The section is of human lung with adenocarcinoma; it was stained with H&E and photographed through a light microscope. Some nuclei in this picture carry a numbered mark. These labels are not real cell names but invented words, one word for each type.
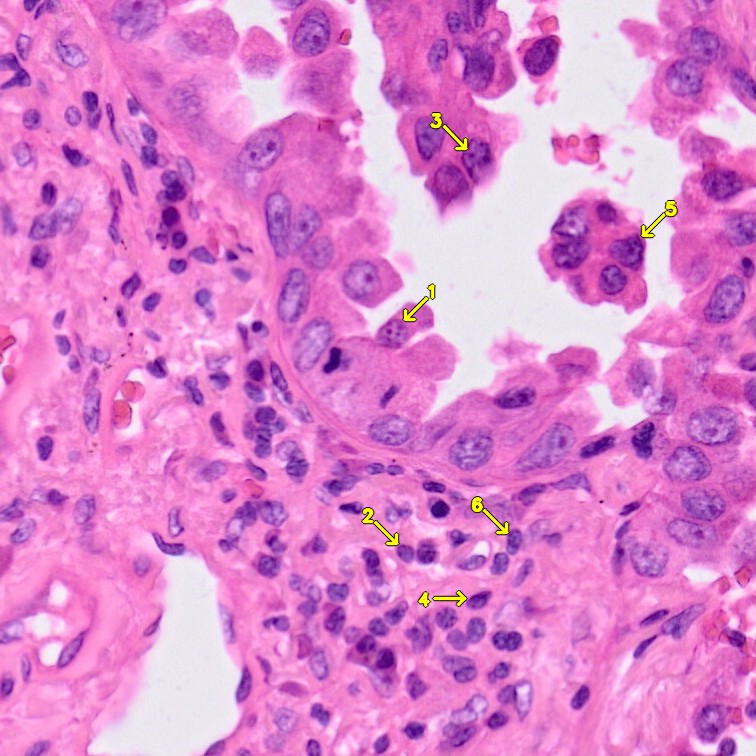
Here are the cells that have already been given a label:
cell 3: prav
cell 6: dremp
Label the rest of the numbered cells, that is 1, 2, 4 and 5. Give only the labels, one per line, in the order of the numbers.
prav
dremp
dremp
prav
